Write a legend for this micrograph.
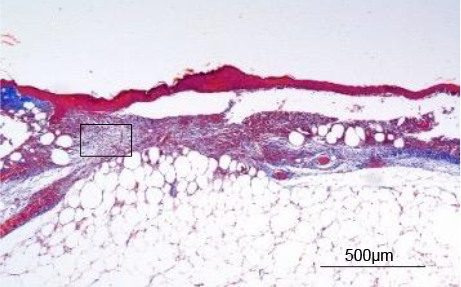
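This is a low-power view of a whole wound, with a bright red band along the surface, partly lifted away from the tissue below. Beneath it lies a band of fibrous tissue stained blue and purple-red. Under that is a broad zone of large, empty, rounded spaces outlined by a fine mesh.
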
